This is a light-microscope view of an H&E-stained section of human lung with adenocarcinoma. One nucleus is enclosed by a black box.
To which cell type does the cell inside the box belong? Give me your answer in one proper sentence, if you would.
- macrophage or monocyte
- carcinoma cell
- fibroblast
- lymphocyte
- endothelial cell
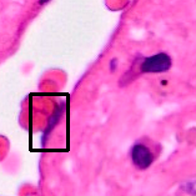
Among the cells in this section, the cell inside the box is an endothelial cell.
